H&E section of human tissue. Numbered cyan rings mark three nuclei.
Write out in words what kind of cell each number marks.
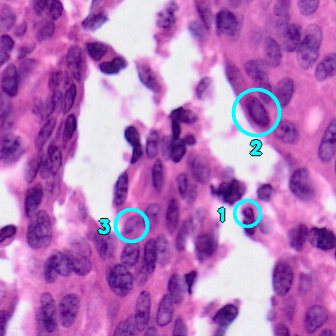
Cell 1 is a macrophage or monocyte. Cells 2 and 3 are carcinoma cells.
